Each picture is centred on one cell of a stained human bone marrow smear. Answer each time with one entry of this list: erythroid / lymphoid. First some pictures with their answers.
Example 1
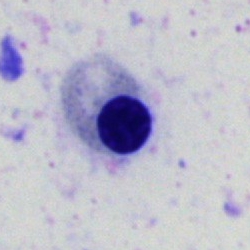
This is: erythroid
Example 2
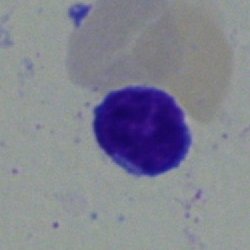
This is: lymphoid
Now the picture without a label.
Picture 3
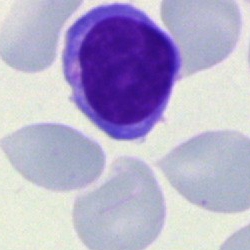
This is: lymphoid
